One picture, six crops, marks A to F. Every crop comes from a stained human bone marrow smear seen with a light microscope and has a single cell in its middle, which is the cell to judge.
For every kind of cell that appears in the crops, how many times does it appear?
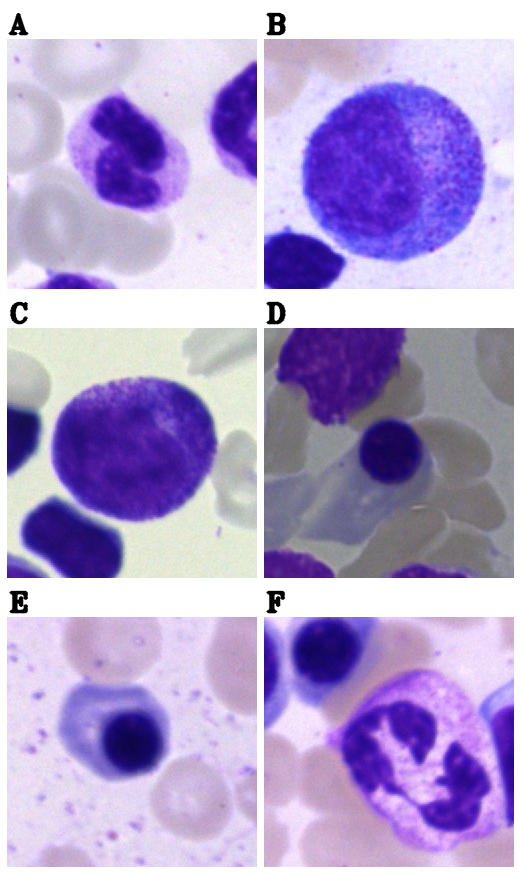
neutrophil: 2
promyelocyte: 2
normoblast: 2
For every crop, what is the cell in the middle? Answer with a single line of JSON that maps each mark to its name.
{"A": "neutrophil", "B": "promyelocyte", "C": "promyelocyte", "D": "normoblast", "E": "normoblast", "F": "neutrophil"}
